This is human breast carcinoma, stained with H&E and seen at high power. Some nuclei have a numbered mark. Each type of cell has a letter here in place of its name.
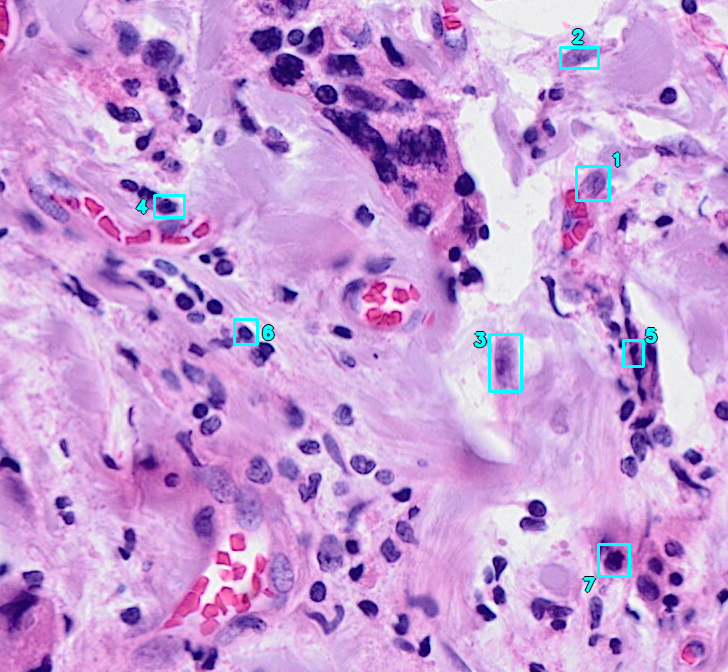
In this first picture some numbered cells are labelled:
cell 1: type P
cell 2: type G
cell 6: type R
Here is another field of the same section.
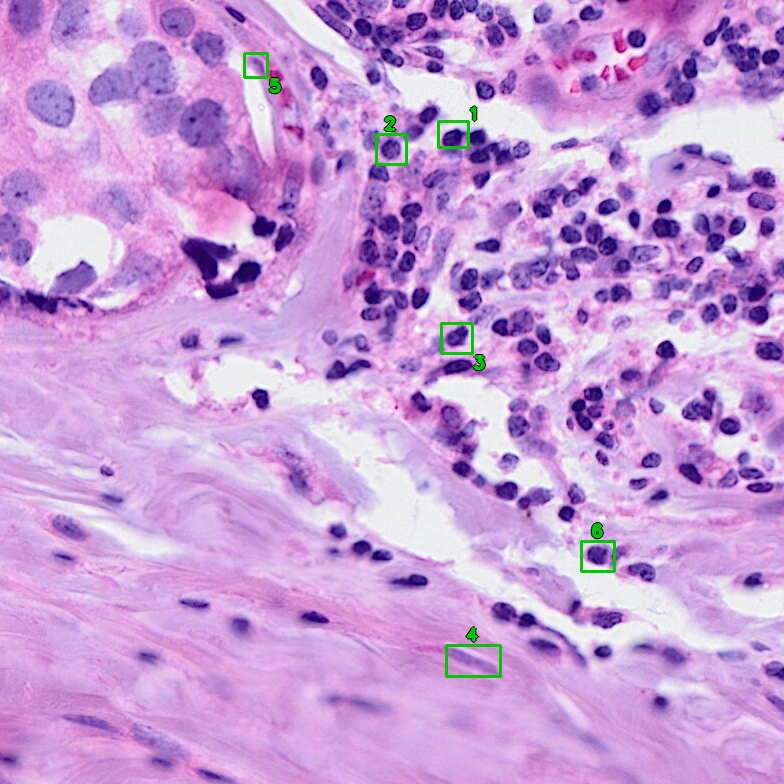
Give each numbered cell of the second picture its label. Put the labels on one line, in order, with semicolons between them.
type R; type R; type R; type G; type P; type R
